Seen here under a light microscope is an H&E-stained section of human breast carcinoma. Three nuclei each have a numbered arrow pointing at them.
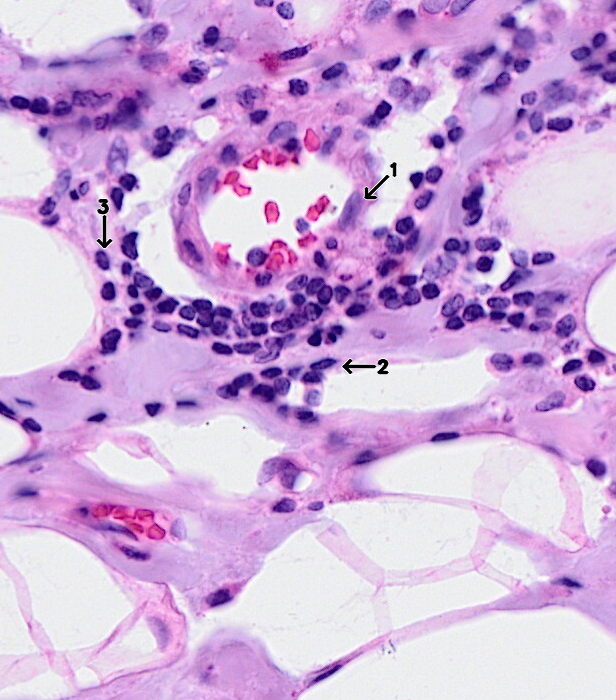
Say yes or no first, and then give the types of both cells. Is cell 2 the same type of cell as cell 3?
Yes, both are lymphocytes.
